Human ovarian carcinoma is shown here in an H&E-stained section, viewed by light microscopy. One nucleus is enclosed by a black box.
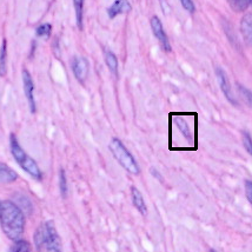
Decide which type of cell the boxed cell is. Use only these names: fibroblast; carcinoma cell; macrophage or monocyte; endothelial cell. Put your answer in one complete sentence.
In the context of this tissue, the boxed cell is a fibroblast.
